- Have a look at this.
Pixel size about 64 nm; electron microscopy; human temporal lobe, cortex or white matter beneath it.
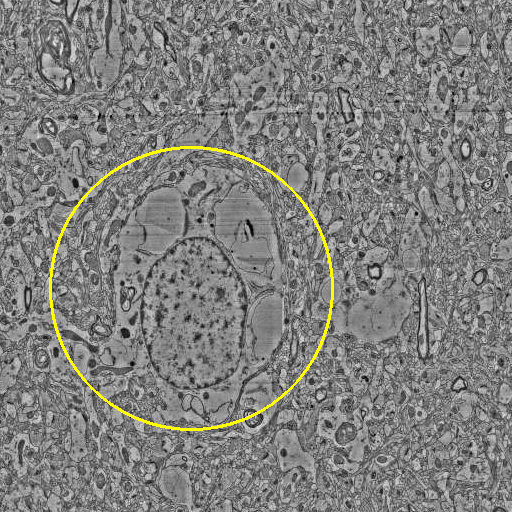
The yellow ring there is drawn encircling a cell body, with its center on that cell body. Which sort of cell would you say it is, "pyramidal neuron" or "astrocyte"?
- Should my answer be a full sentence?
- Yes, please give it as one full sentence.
For this picture, an astrocyte is the cell where the yellow ring has its center.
